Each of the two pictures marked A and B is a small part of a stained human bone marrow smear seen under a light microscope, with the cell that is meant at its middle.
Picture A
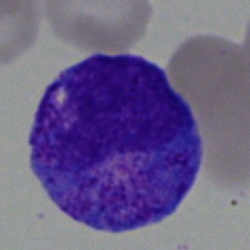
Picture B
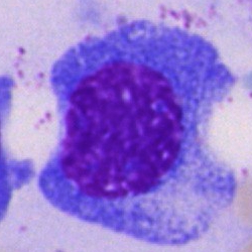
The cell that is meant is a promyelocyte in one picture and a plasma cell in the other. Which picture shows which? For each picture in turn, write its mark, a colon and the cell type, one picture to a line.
A: promyelocyte
B: plasma cell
